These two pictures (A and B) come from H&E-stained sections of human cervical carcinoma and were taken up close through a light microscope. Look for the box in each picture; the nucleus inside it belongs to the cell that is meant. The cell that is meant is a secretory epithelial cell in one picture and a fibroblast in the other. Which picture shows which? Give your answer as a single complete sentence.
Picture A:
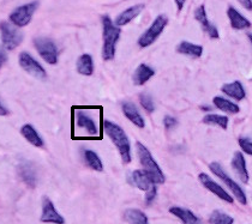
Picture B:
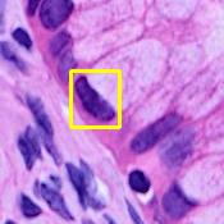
Picture B shows a secretory epithelial cell, while picture A shows a fibroblast.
